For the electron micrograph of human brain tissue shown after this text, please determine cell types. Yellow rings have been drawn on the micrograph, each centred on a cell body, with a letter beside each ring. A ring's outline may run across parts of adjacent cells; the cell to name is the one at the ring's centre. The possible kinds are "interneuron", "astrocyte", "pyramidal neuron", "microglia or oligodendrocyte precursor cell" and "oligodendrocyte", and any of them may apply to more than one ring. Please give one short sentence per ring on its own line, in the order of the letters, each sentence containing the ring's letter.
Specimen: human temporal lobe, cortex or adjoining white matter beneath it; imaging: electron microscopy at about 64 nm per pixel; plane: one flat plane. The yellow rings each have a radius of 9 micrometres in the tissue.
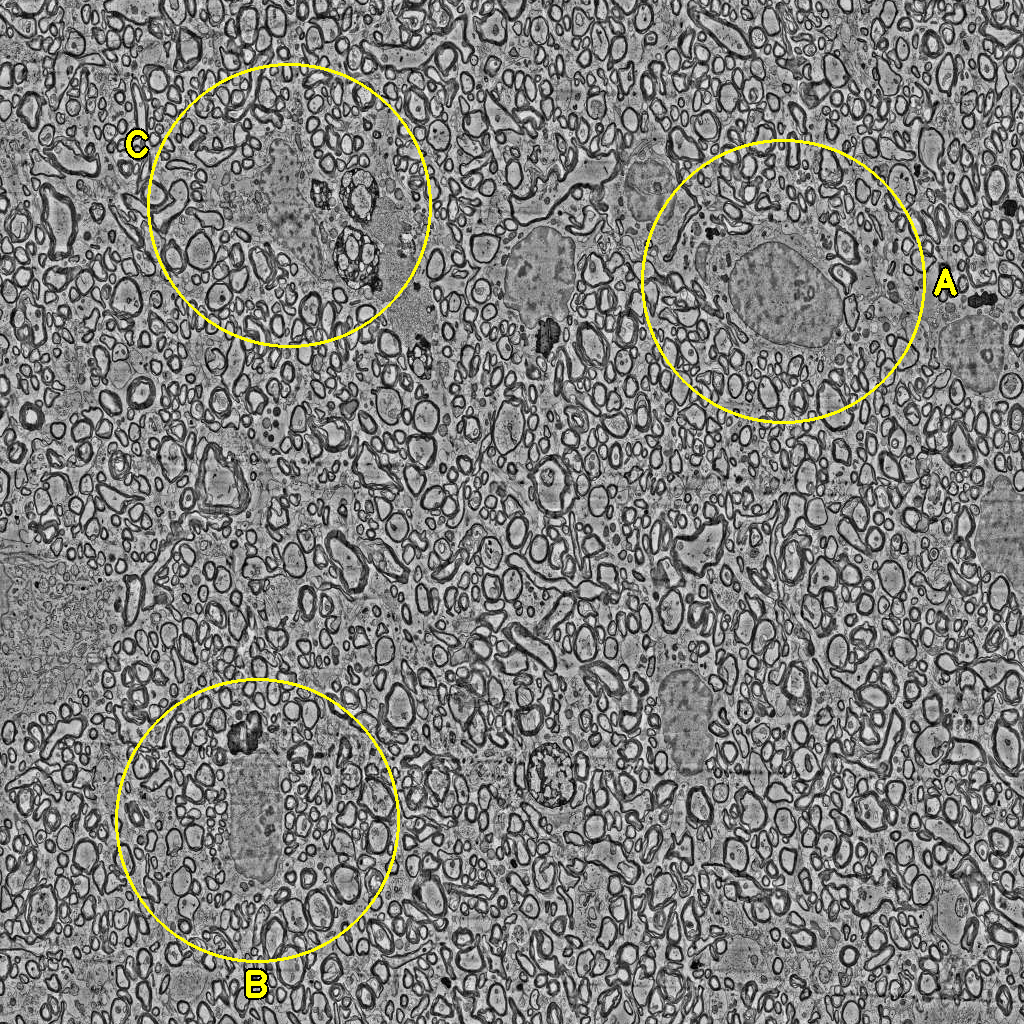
Ring A is set around an oligodendrocyte.
Ring B is set around an oligodendrocyte.
Ring C is set around an astrocyte.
